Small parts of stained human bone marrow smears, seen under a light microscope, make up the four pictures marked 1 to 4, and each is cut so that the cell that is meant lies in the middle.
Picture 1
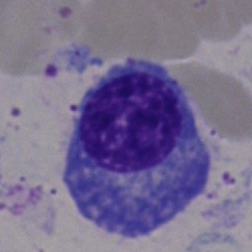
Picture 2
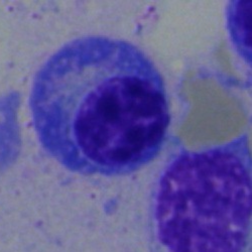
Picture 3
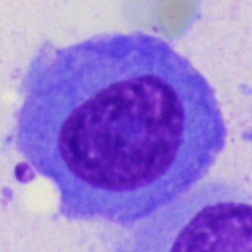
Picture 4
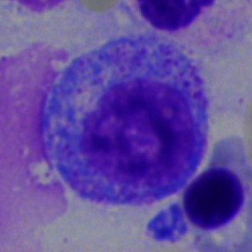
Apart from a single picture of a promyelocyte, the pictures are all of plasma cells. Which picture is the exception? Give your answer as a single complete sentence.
The cell in picture 4 is the promyelocyte.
